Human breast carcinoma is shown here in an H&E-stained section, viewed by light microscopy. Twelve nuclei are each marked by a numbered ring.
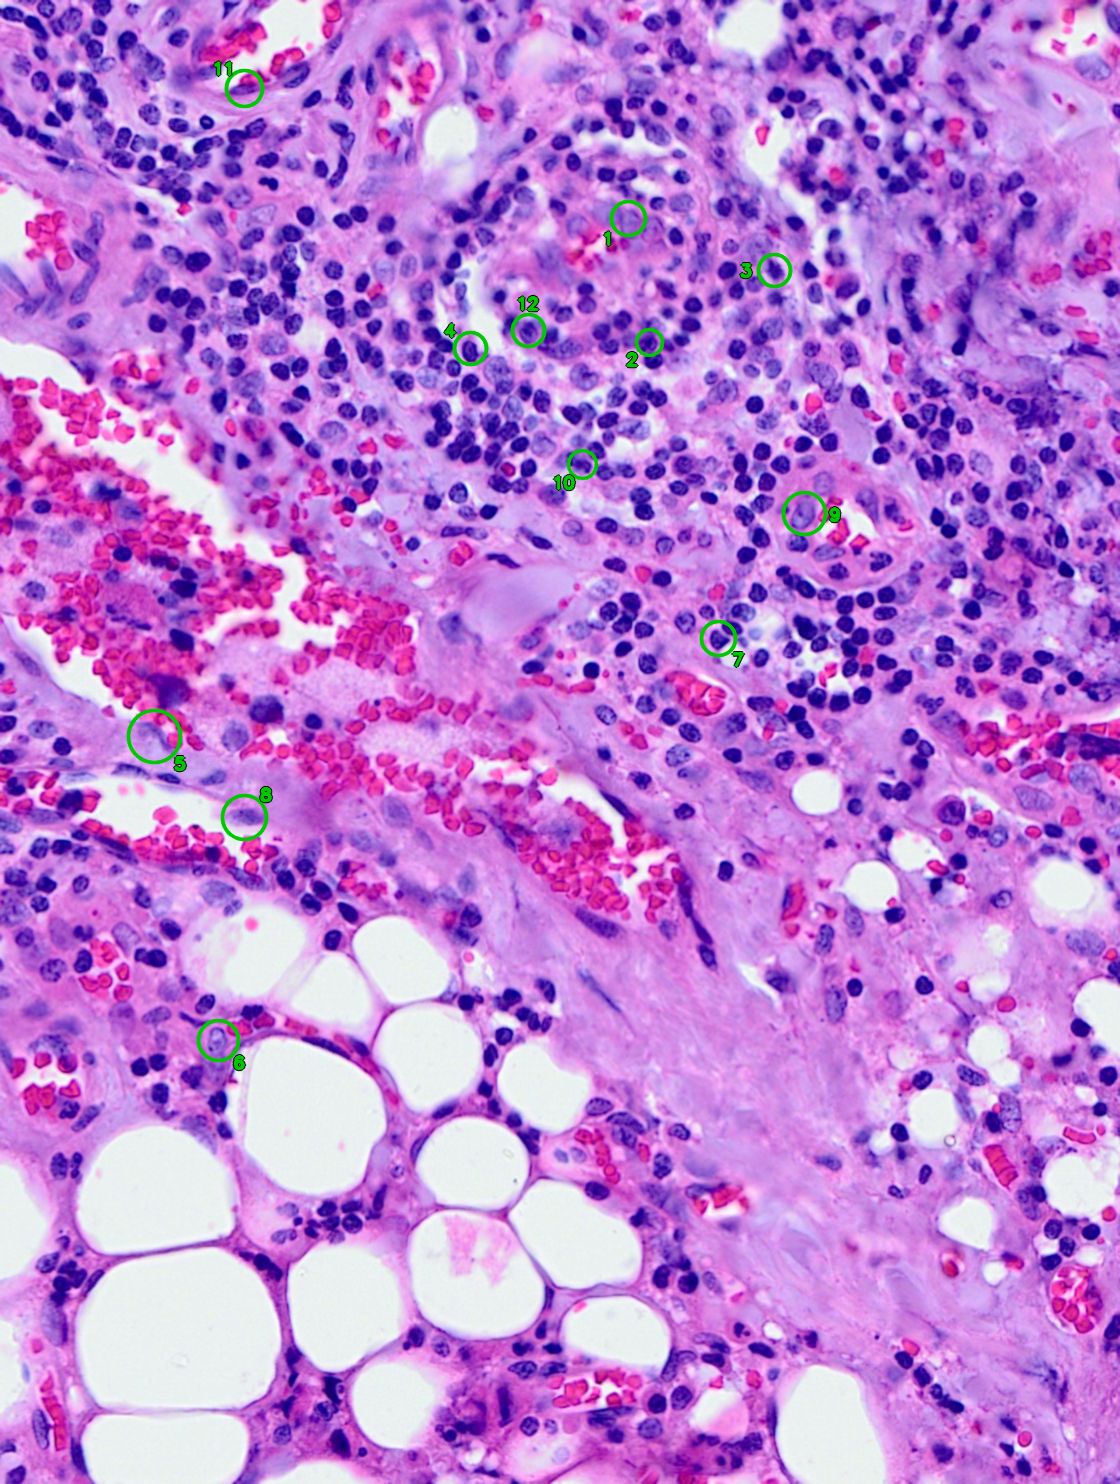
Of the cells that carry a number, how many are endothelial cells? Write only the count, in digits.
6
